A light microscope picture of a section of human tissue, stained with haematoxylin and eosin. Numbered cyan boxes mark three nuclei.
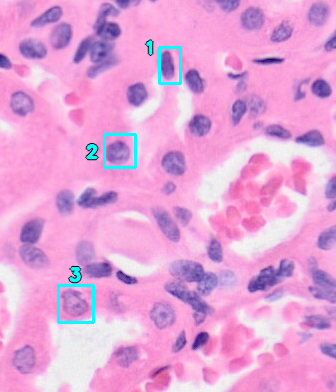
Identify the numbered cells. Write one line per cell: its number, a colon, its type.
1: loop of Henle or distal tubule cell
2: loop of Henle or distal tubule cell
3: proximal tubule cell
